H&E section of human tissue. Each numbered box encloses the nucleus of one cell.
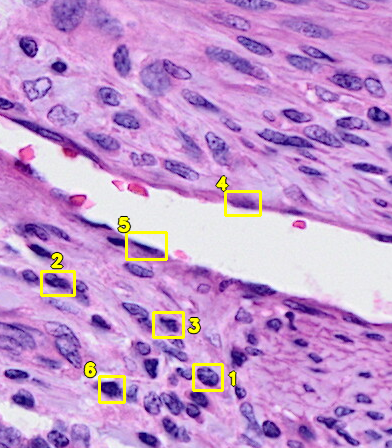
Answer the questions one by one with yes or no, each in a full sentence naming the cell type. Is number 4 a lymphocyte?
No, number 4 is assigned to an endothelial cell, not to a lymphocyte.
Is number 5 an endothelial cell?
Yes, the cell given number 5 is an endothelial cell.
